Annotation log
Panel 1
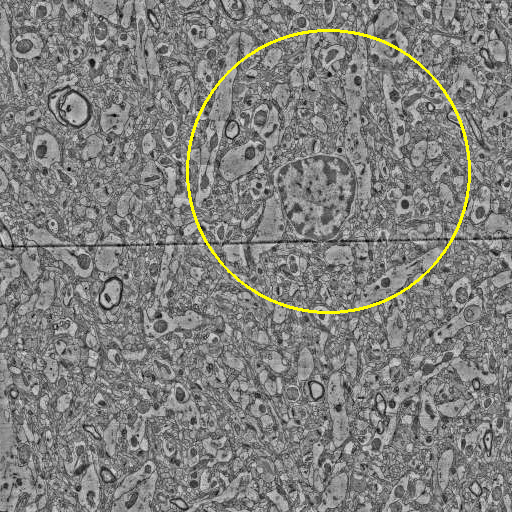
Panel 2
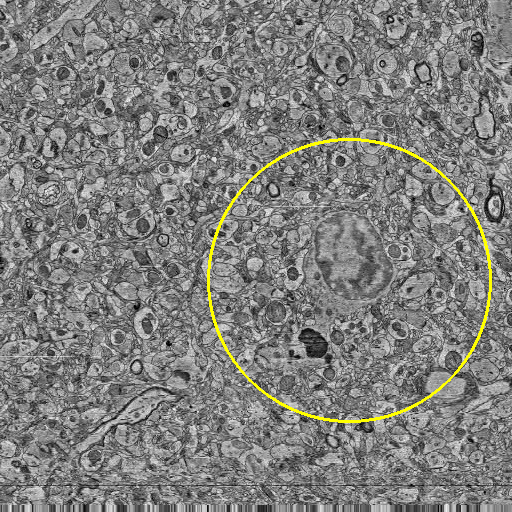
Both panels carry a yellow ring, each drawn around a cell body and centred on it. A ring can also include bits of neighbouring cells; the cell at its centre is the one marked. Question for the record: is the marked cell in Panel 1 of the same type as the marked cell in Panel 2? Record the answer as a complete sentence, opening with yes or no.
No, the marked cells in Panel 1 and Panel 2 are of two types.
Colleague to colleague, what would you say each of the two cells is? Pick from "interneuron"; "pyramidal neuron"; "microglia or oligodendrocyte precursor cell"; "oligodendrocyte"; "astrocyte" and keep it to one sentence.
The cell in the first picture is a microglial cell or oligodendrocyte precursor cell; the second picture's cell is an oligodendrocyte.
